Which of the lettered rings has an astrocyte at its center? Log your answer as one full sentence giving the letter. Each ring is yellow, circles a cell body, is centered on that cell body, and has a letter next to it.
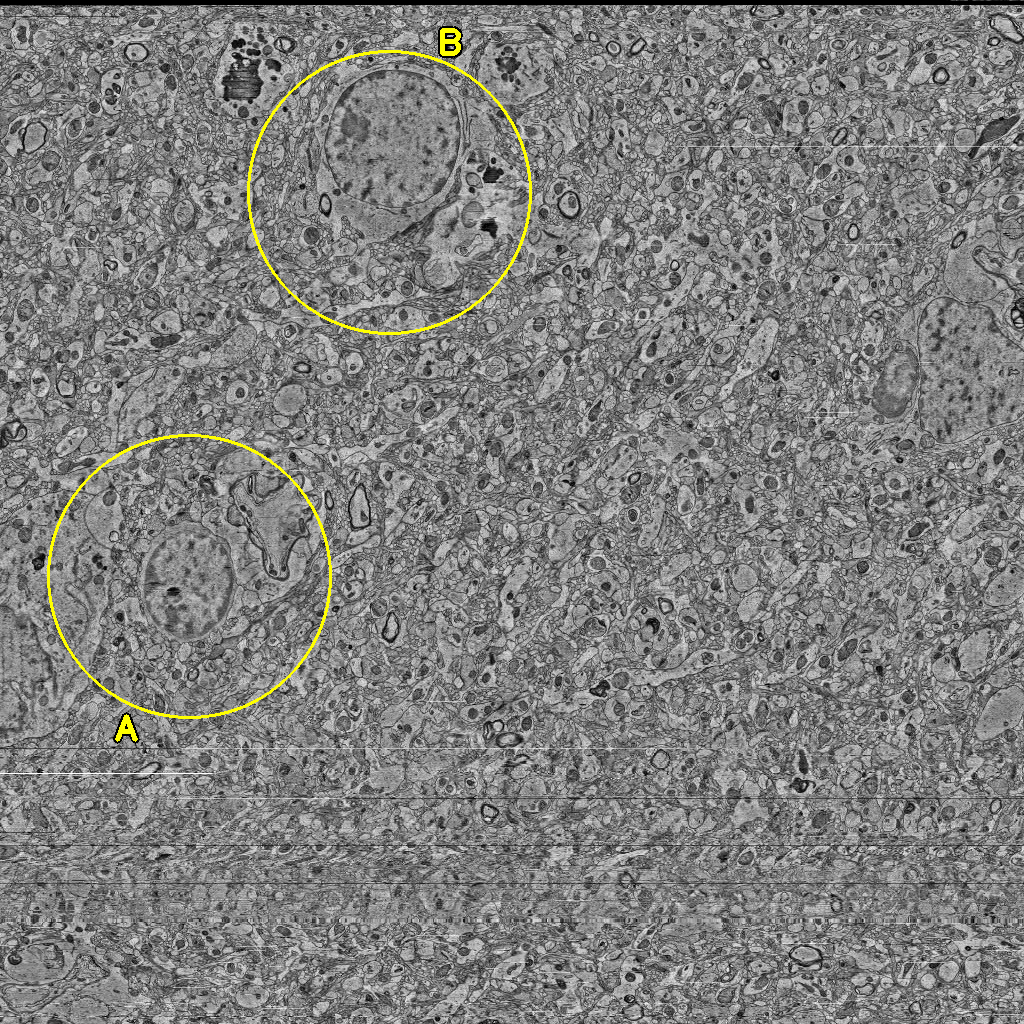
The lettered ring centered on the cell asked for is ring B.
